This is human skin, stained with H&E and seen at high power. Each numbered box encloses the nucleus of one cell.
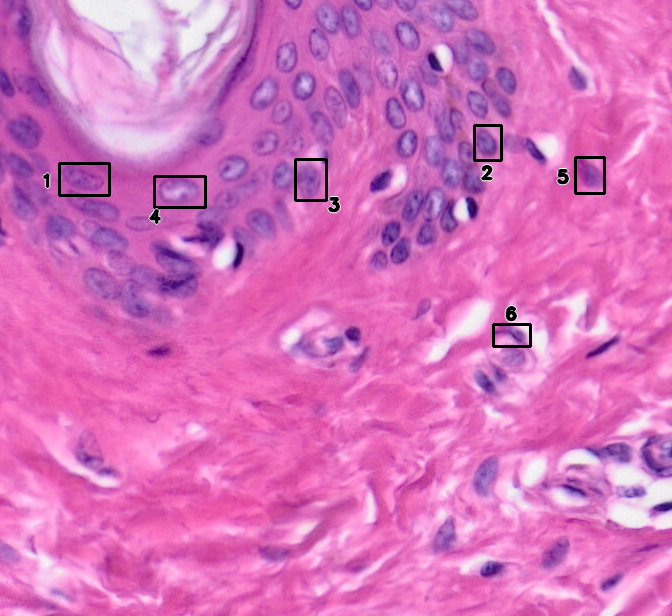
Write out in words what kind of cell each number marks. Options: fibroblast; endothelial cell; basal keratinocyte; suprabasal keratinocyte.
Cells 1 and 4 are suprabasal keratinocytes. Cells 2 and 3 are basal keratinocytes. Cells 5 and 6 are fibroblasts.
